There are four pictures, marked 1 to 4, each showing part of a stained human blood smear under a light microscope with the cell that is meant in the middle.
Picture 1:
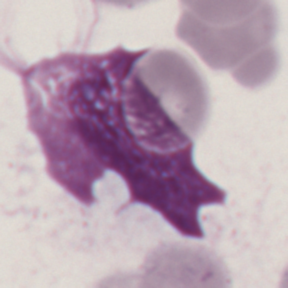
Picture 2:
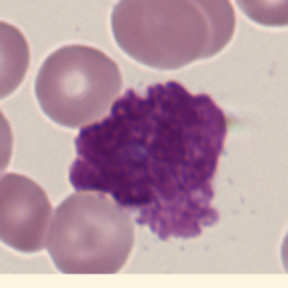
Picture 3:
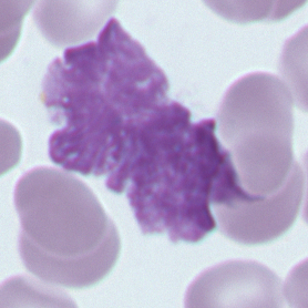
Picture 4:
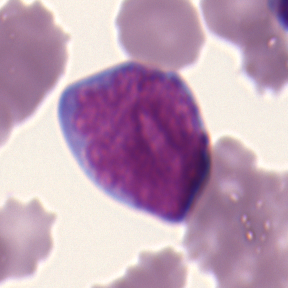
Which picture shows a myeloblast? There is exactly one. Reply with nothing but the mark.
4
